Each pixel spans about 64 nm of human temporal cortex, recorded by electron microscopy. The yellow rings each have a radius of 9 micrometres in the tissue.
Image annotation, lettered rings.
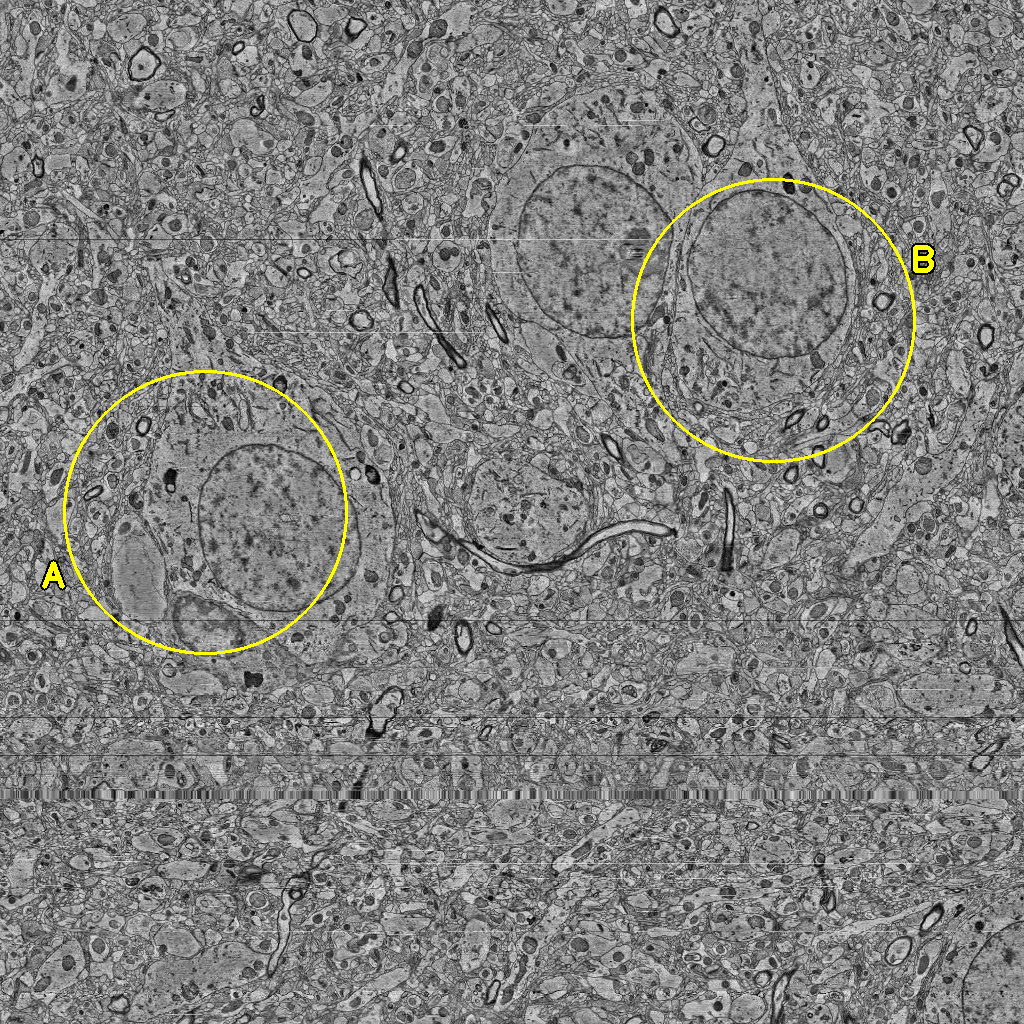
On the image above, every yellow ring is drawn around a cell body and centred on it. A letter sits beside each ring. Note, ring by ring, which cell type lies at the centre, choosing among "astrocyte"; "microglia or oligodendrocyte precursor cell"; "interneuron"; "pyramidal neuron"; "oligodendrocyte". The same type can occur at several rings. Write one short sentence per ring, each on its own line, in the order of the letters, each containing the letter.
Ring A has a pyramidal neuron at its centre.
Ring B has a pyramidal neuron at its centre.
